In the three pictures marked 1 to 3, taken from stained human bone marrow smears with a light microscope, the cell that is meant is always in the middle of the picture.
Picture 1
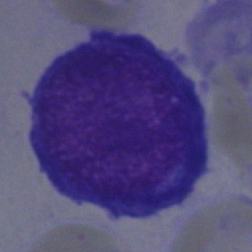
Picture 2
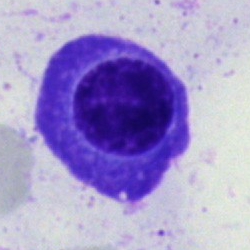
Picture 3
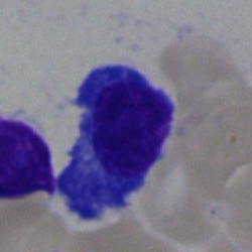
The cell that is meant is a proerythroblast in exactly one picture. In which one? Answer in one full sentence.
The picture with the proerythroblast is 1.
